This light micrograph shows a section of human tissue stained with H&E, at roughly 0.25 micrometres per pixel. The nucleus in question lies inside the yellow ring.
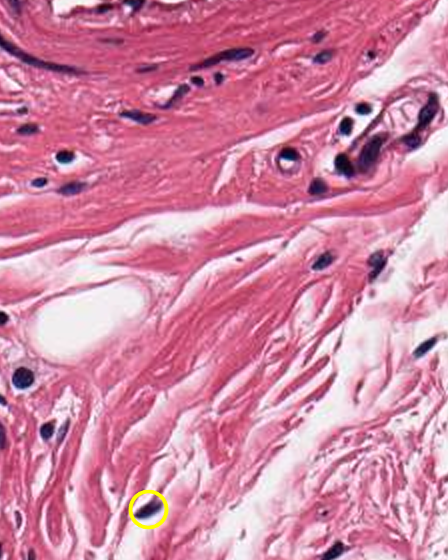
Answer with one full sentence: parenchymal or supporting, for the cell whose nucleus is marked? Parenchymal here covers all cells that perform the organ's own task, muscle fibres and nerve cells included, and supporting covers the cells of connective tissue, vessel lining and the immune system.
As for the marked nucleus, it belongs to a supporting cell.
